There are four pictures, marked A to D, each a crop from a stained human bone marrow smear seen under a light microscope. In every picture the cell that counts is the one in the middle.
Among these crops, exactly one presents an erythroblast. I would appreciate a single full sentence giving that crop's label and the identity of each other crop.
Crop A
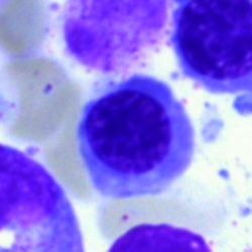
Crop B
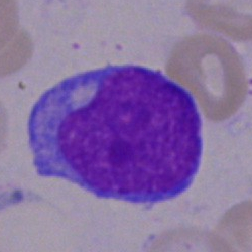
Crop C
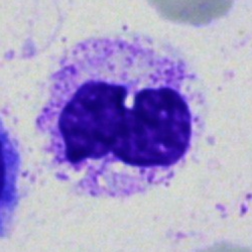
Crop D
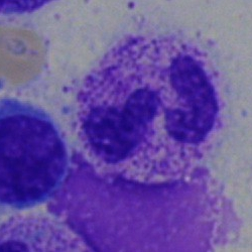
Crop A counts as an erythroblast, while crop B is a blast, crop C is a band neutrophil and crop D is a segmented neutrophil.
